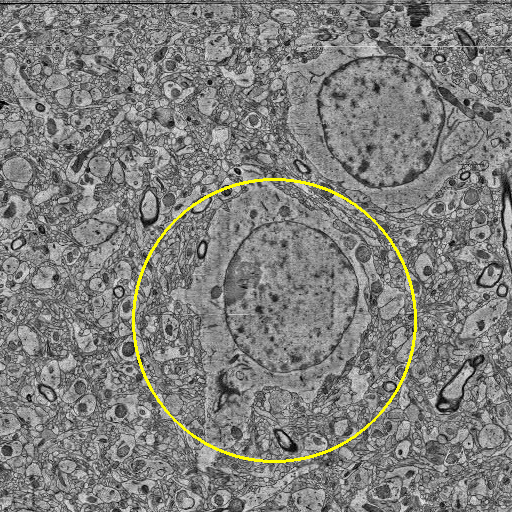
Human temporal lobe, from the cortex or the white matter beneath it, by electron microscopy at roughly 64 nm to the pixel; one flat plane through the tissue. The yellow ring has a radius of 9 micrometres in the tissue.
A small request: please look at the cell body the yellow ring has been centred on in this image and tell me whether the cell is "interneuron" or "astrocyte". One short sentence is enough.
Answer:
The cell marked by the ring is an astrocyte.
